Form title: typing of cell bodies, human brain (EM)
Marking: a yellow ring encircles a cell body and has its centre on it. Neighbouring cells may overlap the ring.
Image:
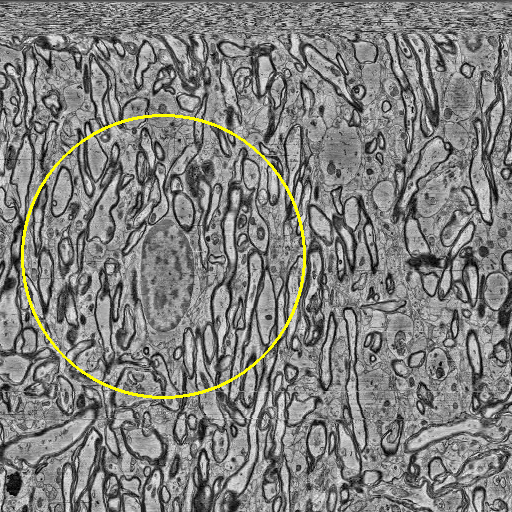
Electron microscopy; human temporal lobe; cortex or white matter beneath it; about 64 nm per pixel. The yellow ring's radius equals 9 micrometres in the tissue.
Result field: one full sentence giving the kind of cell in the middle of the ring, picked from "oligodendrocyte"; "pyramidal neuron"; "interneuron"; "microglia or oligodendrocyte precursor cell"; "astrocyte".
In the picture, the ring is centred on a microglial cell or oligodendrocyte precursor cell, whose cell body it encircles.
